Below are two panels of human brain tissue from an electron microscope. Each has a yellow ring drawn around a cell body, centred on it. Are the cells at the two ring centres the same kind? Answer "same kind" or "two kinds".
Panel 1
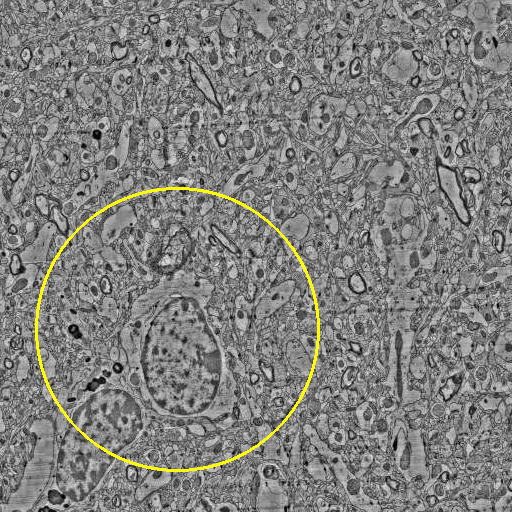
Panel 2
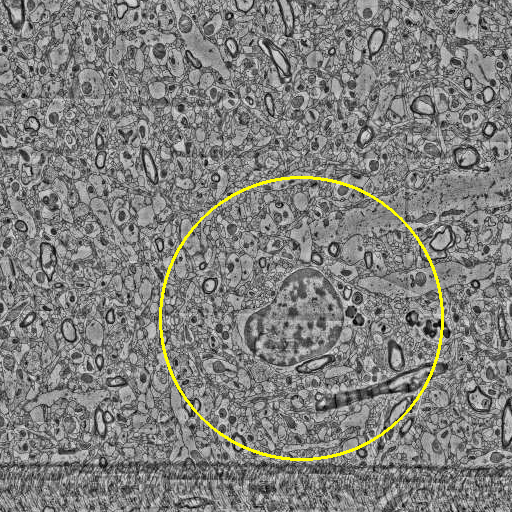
same kind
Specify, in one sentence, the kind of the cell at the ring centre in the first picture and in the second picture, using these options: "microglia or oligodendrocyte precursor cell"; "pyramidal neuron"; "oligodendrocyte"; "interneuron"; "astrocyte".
In each picture the ringed cell is a microglial cell or oligodendrocyte precursor cell.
